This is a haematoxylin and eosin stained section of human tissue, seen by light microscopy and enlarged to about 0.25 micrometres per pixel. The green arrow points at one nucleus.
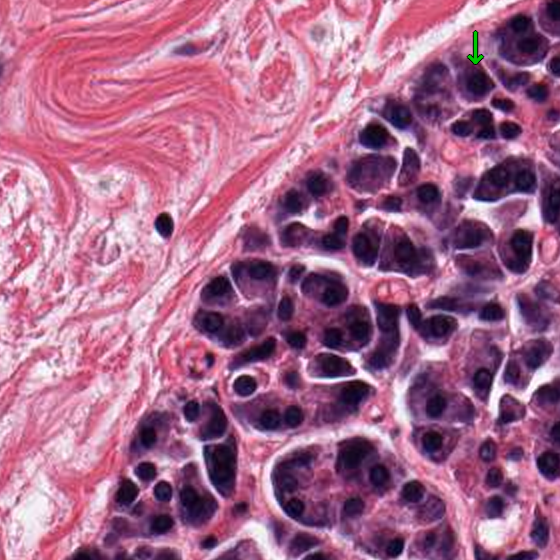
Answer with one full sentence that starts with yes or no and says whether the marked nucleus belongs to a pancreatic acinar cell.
Yes, the marked nucleus, in this picture, is that of a pancreatic acinar cell.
